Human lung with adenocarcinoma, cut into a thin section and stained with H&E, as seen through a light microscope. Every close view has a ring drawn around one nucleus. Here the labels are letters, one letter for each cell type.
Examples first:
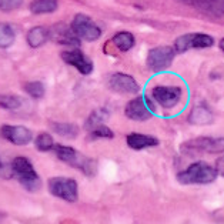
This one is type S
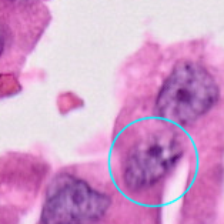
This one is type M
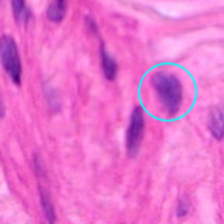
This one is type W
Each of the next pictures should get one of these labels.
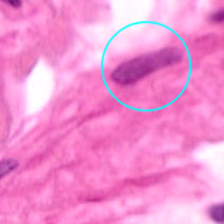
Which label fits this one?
type W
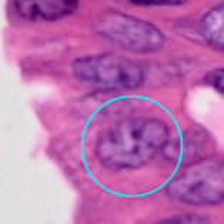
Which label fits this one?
type M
